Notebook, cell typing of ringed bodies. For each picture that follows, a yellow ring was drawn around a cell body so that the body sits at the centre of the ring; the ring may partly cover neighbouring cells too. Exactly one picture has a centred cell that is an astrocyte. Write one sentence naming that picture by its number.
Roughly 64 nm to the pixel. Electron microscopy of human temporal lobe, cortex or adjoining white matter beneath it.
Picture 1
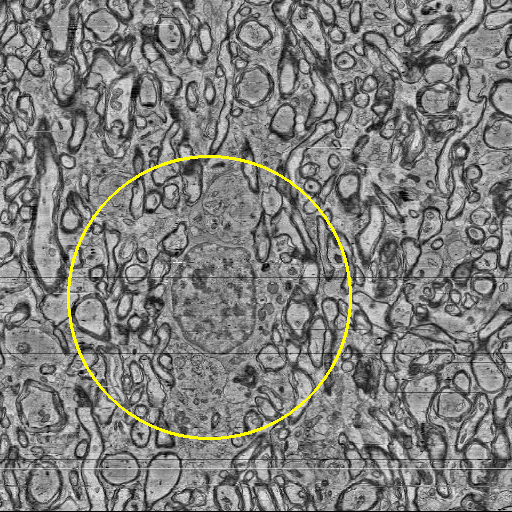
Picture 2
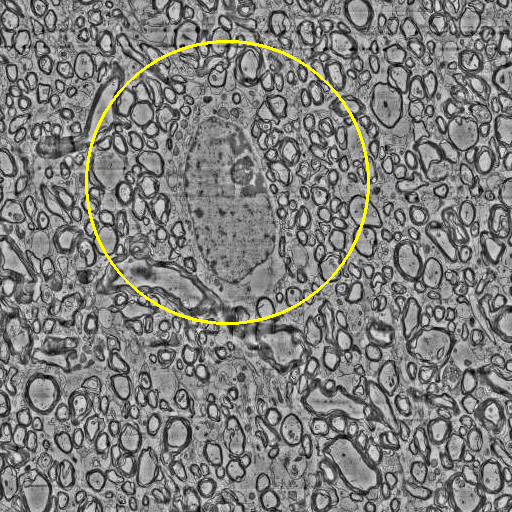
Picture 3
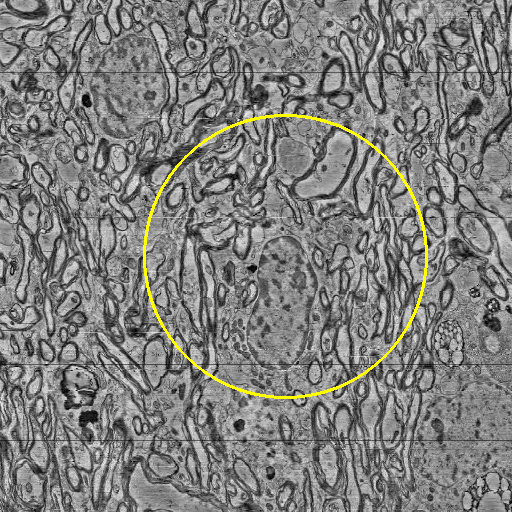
Picture 2 is the one with it at the centre of its ring.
